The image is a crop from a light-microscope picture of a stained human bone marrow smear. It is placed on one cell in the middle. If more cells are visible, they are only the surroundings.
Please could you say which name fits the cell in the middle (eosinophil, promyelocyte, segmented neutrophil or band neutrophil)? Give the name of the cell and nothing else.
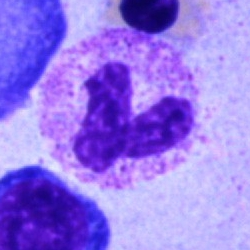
segmented neutrophil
